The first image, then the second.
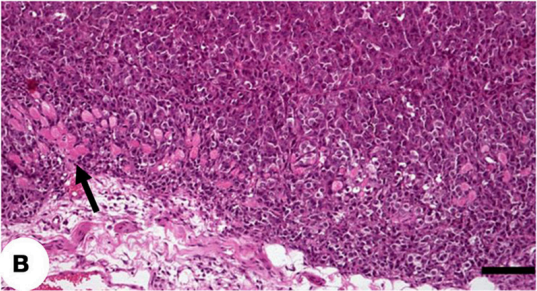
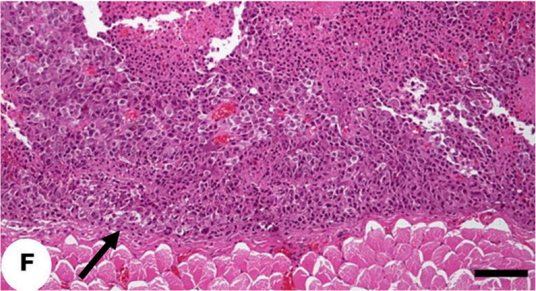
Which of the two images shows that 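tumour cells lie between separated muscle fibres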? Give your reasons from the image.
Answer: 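Second image: the pink muscle fibres form a continuous, tightly packed band under the tumour. First image: pink muscle fibres are scattered and surrounded by purple tumour cells.
Conclusion: the first image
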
